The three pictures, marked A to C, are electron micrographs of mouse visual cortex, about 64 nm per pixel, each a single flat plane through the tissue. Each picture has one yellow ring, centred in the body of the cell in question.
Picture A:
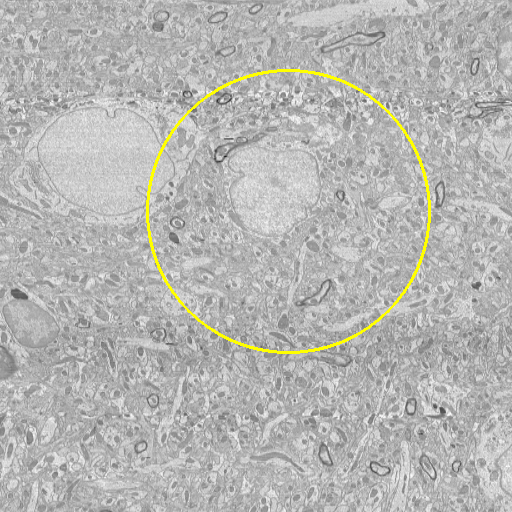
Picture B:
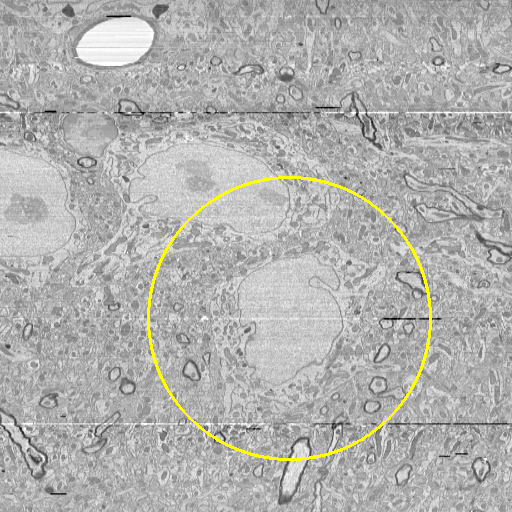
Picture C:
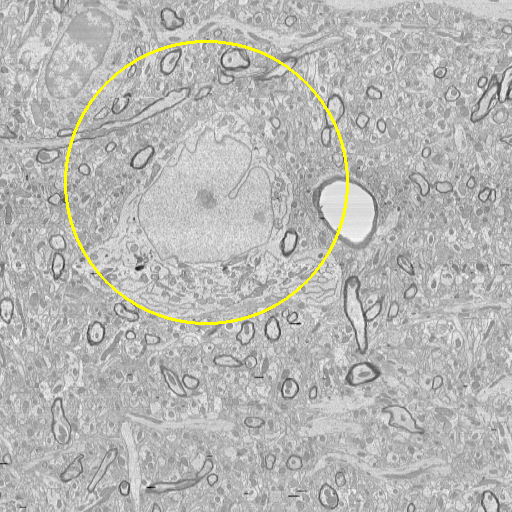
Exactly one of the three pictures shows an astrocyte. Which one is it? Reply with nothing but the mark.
A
